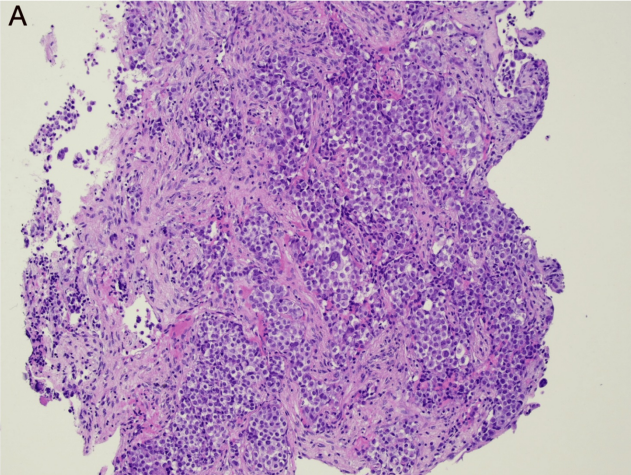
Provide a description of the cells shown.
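This is a tumour made of sheets of undifferentiated cells. The cells are closely packed, with round to oval dark-purple nuclei and scant pale cytoplasm, some cells showing a clear halo around the nucleus. No glands, keratin pearls or other signs of differentiation are evident. The intervening stroma contains elongated spindle cells and pink collagen fibres that divide the cell masses into irregular lobules.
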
